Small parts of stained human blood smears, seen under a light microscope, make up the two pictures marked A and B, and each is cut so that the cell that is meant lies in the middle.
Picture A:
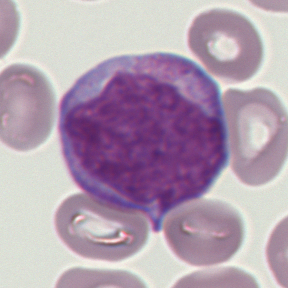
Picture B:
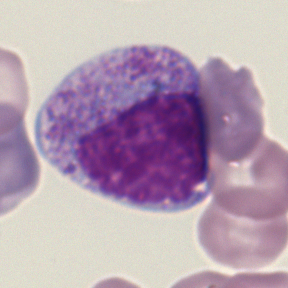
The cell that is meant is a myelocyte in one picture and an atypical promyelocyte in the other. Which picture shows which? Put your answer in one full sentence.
Picture B shows a myelocyte, while picture A shows an atypical promyelocyte.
